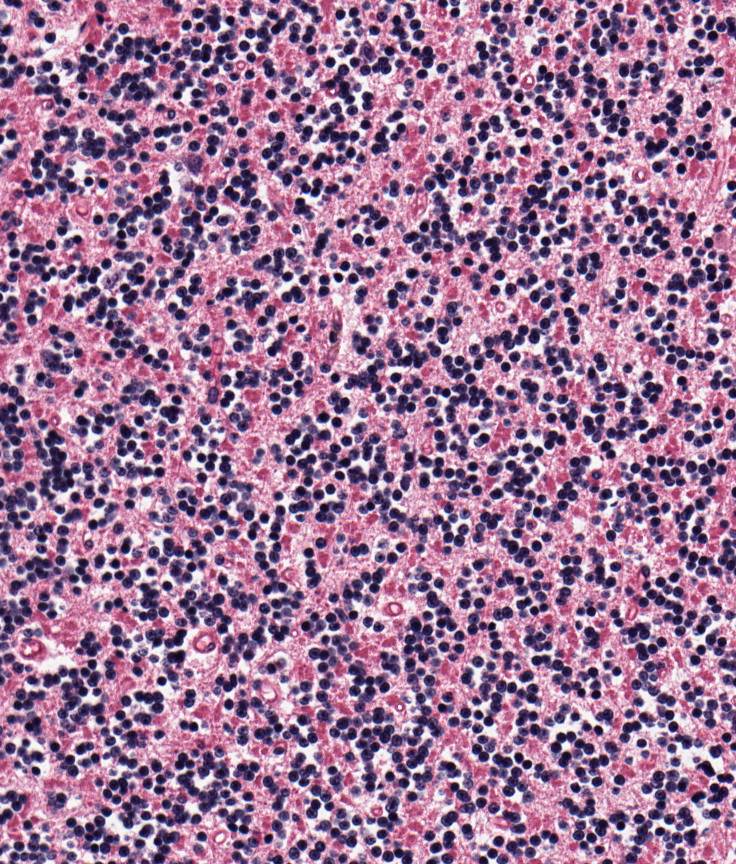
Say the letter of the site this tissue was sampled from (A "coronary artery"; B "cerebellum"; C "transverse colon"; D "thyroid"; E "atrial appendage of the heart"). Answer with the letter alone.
B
